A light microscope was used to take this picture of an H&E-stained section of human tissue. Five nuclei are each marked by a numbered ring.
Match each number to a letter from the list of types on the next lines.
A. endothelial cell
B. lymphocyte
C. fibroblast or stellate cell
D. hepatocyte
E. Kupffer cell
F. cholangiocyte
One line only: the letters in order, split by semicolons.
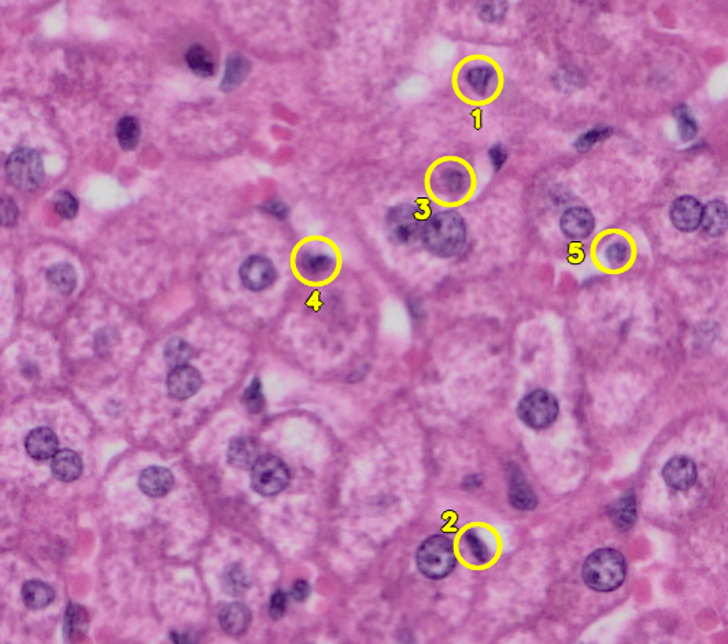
E; C; E; A; B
